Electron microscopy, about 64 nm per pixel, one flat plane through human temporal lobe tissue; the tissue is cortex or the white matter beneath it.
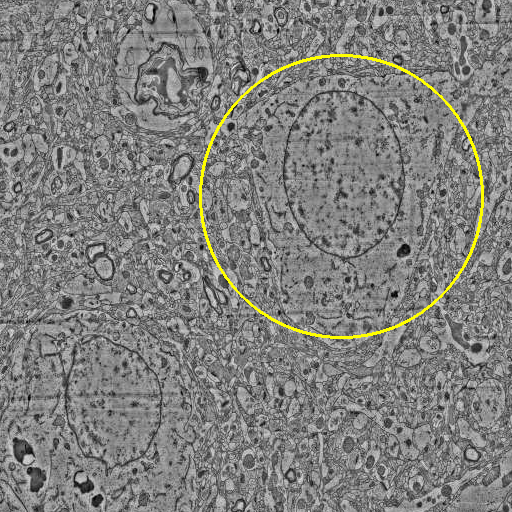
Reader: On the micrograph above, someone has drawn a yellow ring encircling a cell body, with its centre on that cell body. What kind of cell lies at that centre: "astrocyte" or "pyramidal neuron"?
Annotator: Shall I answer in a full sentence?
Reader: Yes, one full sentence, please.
Here a pyramidal neuron sits at the centre of the yellow ring drawn on the micrograph.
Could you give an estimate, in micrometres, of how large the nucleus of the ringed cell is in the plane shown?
About 11 by 8 micrometres in this plane.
